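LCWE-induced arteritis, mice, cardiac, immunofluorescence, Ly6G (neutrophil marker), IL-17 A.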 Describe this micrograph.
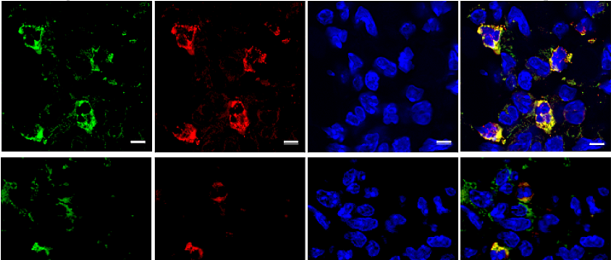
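This grid of fluorescence images shows closely packed cells of an inflammatory infiltrate, with each row split into green, red and blue channels and a merged view. The blue nuclei are crowded together and range from round or oval to irregular in outline. In the top row several cells carry bright green and red label in the cytoplasm around their nuclei, and the two colours overlap as yellow in the merged view. In the bottom row the labelled cells are fewer and their green and red label is fainter.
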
